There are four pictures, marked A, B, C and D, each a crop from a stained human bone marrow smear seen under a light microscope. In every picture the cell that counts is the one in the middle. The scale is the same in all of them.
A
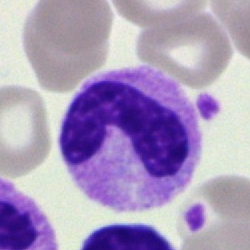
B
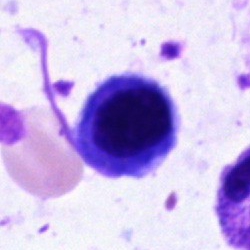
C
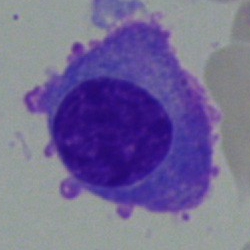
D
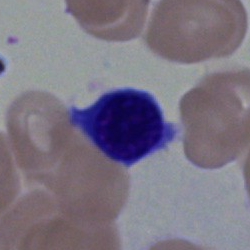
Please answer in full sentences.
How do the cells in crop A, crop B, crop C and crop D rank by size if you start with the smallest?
The order is D, B, A, C, beginning with the smallest.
